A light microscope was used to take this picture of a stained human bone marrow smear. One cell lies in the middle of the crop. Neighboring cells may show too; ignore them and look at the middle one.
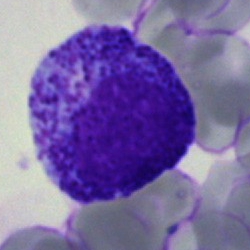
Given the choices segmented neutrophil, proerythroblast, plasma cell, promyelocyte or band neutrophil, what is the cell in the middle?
promyelocyte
